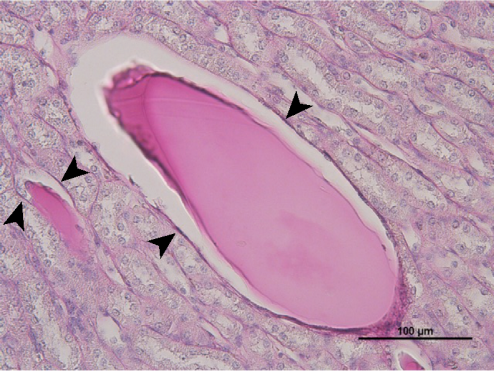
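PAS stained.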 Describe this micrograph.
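Renal tubules with one greatly dilated tubule whose lumen is filled by a large, homogeneous, glassy magenta cast. The cells lining the dilated tubules are thin and flattened, with slender nuclei, unlike the taller epithelium with round nuclei in the surrounding tubules.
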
